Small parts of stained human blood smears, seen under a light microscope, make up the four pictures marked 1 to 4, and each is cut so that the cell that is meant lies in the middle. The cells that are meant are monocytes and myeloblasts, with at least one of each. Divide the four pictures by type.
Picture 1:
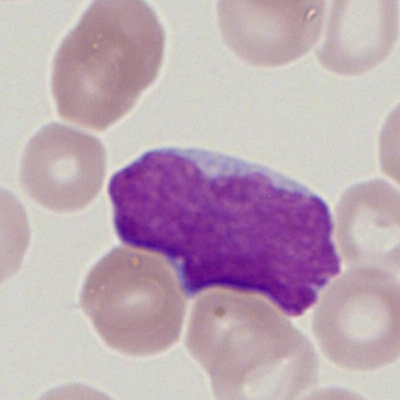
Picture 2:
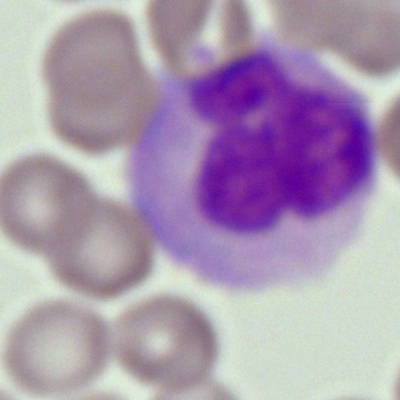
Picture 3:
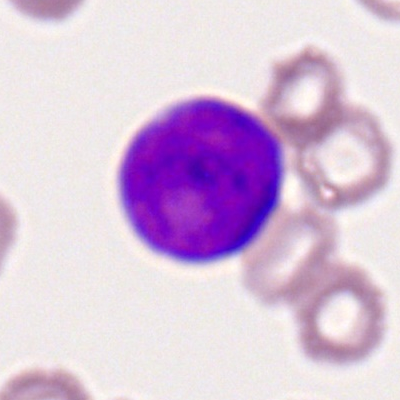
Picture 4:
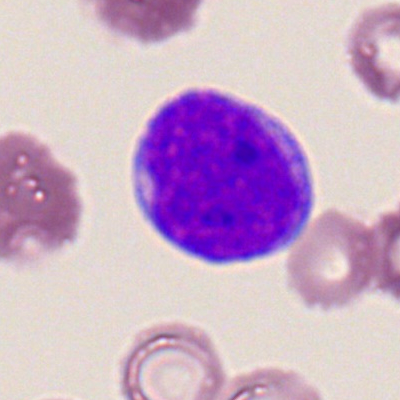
1: myeloblast
2: monocyte
3: myeloblast
4: myeloblast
